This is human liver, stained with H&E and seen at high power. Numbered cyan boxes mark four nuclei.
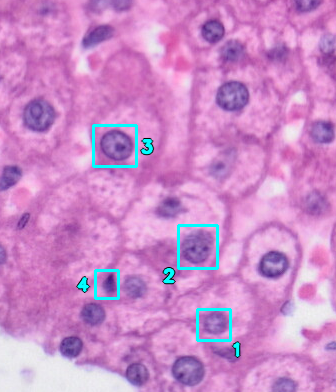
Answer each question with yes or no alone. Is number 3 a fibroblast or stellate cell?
no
